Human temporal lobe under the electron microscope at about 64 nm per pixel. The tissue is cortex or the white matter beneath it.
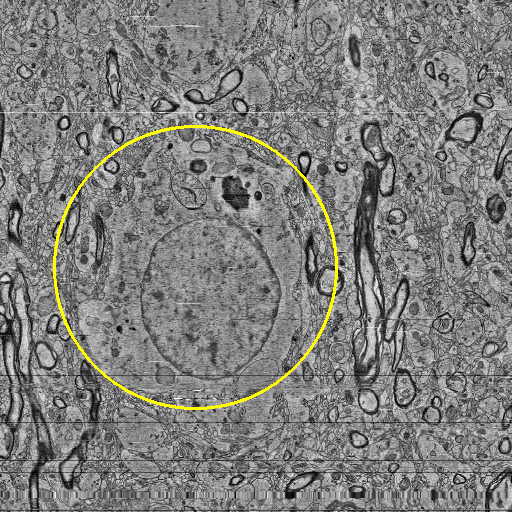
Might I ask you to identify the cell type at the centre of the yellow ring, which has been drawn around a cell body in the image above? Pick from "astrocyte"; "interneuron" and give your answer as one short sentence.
The centre of the ring falls on an astrocyte.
